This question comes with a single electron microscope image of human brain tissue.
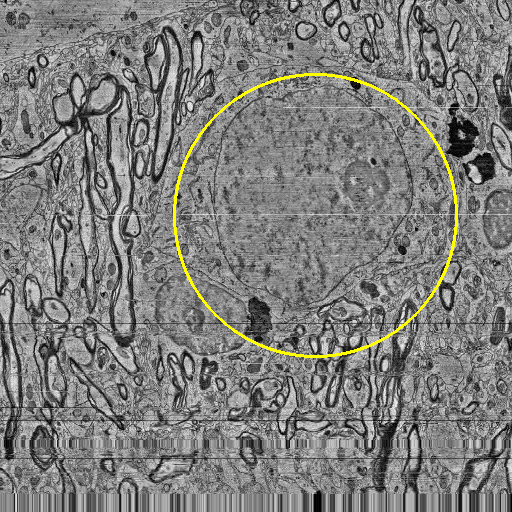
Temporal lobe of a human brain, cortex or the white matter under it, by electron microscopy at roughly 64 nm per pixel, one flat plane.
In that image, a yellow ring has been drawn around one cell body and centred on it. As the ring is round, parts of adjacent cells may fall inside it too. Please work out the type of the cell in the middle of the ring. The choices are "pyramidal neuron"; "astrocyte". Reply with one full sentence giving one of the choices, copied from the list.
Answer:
Of the choices, a pyramidal neuron is the cell sitting in the middle of the ring.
